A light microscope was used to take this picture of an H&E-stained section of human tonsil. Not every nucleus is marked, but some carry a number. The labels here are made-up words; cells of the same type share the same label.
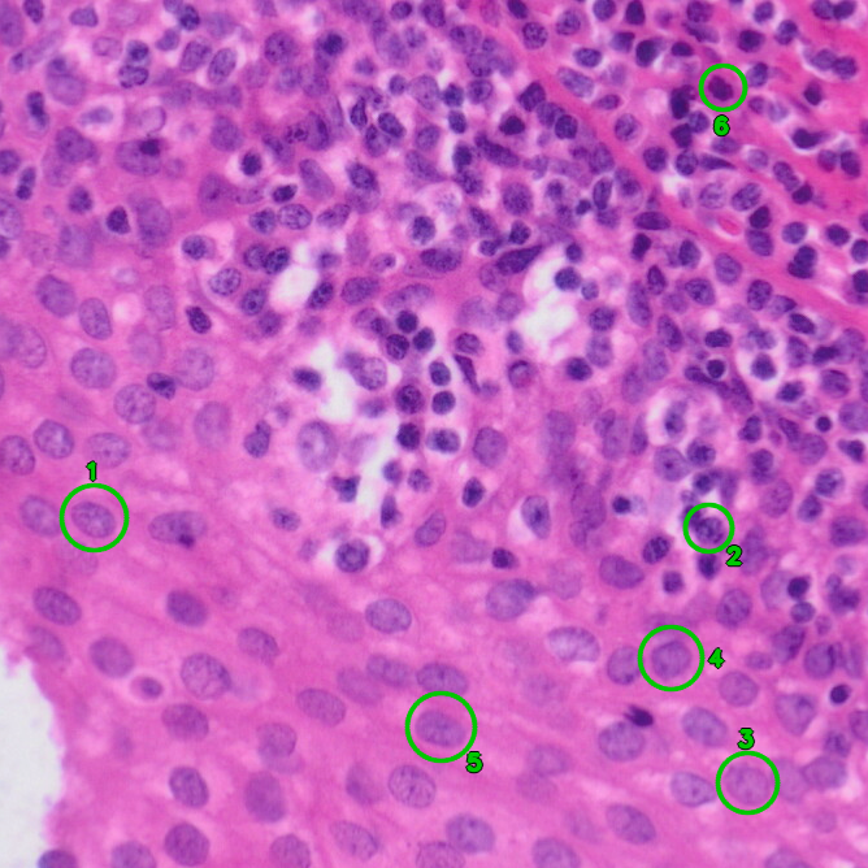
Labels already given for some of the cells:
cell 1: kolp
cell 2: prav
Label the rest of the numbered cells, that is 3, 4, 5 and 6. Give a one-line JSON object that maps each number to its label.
{"3": "kolp", "4": "kolp", "5": "kolp", "6": "prav"}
